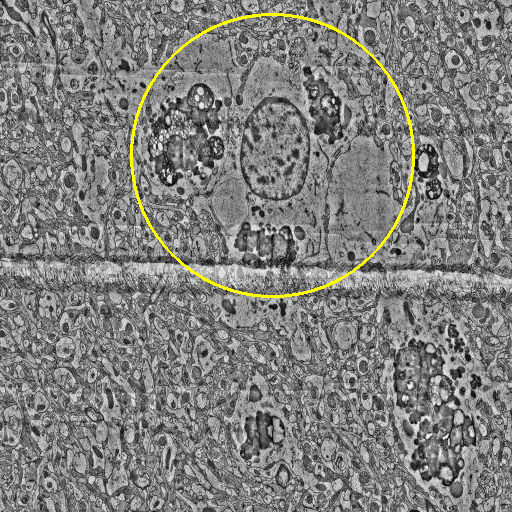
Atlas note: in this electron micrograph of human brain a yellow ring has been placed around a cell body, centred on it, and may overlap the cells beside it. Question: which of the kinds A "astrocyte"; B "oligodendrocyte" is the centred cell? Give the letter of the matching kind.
A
